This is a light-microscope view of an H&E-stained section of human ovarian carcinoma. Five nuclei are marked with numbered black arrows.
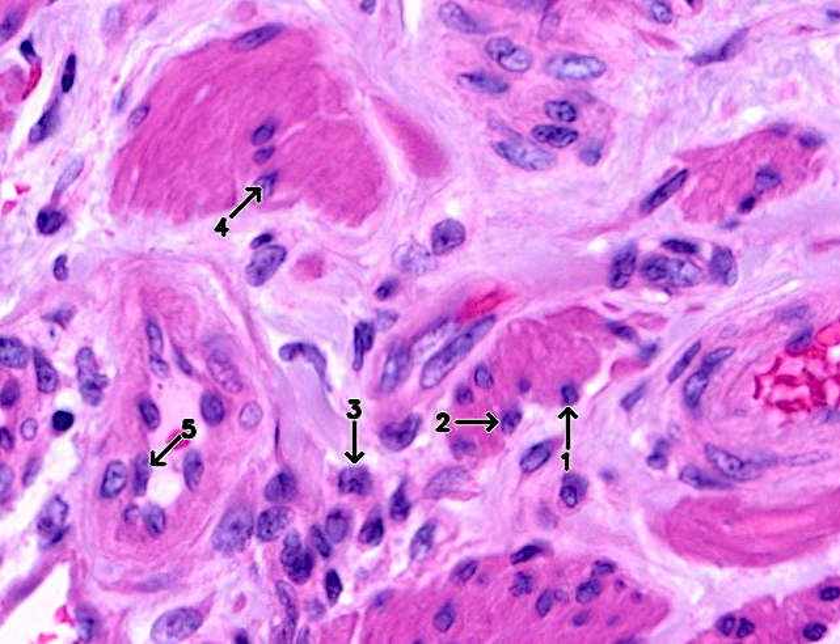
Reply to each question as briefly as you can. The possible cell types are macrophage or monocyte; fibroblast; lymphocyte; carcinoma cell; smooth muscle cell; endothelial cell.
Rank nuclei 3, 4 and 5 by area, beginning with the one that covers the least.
4, 5, 3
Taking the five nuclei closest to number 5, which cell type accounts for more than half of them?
endothelial cell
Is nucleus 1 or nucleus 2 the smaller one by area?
1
